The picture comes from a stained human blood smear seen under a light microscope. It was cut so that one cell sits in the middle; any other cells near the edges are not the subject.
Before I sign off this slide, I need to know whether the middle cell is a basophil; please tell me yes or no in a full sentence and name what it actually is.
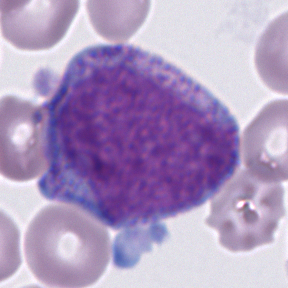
No, sorry, the middle cell is a promyelocyte rather than a basophil.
